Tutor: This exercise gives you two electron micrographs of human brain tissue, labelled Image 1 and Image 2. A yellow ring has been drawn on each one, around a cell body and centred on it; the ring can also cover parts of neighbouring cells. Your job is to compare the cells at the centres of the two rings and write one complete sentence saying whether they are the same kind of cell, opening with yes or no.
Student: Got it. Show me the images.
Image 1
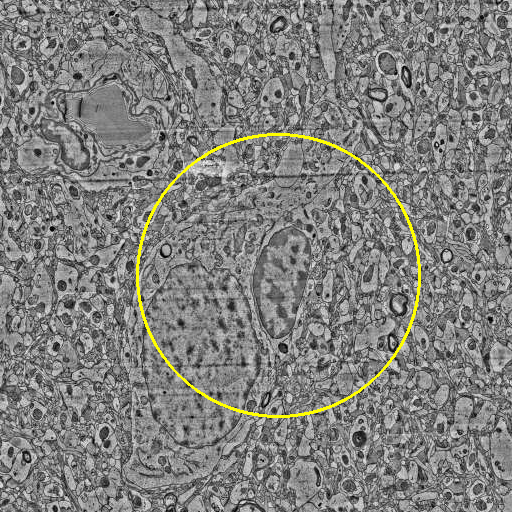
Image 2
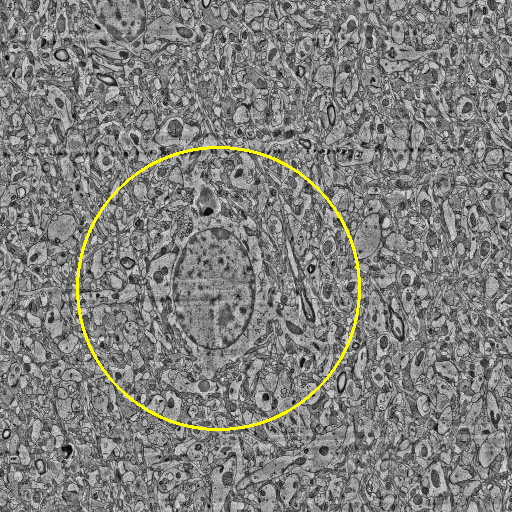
No, the two cells belong to two kinds.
